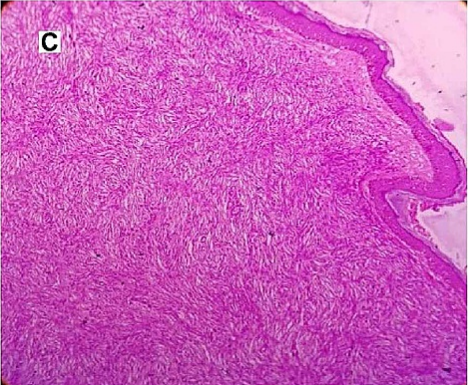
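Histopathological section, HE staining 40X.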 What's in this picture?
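This is a section of skin whose dermis is filled by a dense sheet of spindle-shaped tumor cells, stained pink and purple. The elongated cells run in short interlacing, whorled bundles. A thin intact epidermis lines the upper right edge, and a narrow paler band separates it from the cellular sheet.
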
